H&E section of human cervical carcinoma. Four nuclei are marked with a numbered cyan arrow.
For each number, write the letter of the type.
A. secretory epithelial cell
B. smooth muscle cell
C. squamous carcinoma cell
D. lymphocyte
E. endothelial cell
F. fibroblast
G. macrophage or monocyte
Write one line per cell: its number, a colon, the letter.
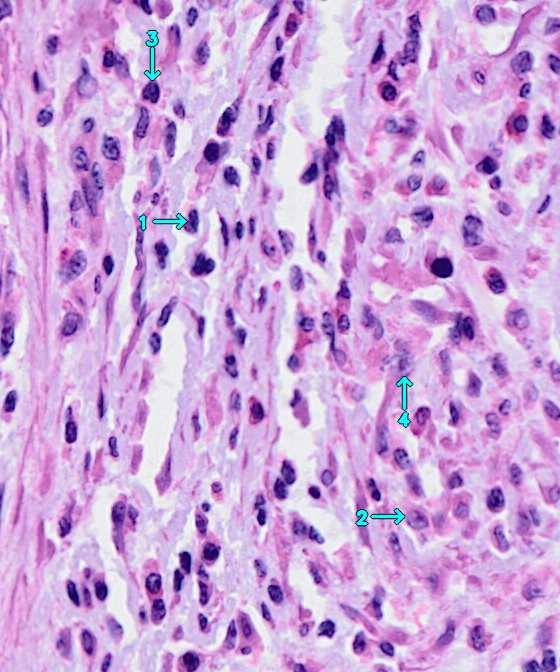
1: D
2: G
3: D
4: F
